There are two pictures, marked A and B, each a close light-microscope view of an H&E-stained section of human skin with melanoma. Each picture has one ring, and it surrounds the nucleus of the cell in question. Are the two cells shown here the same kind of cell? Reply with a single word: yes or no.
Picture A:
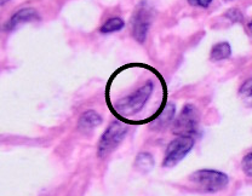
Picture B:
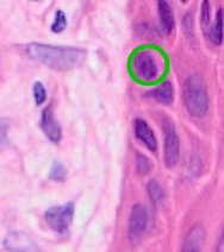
no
